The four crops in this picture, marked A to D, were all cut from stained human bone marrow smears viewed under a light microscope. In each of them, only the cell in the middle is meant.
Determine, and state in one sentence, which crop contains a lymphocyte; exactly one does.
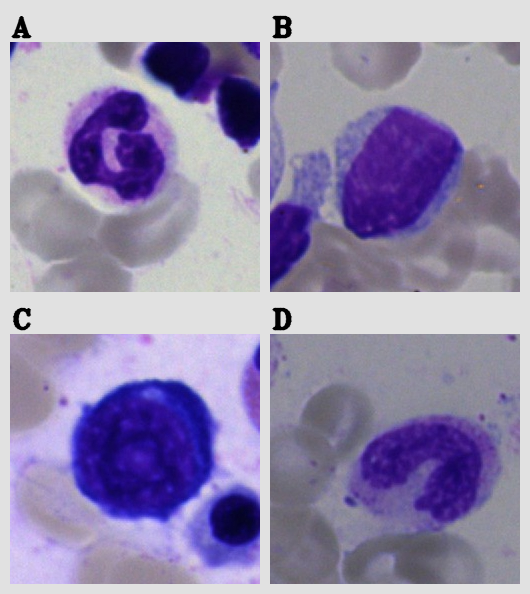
Crop B is the single crop that shows a lymphocyte.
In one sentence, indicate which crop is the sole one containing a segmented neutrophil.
Crop A is the one to choose: it shows a segmented neutrophil.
